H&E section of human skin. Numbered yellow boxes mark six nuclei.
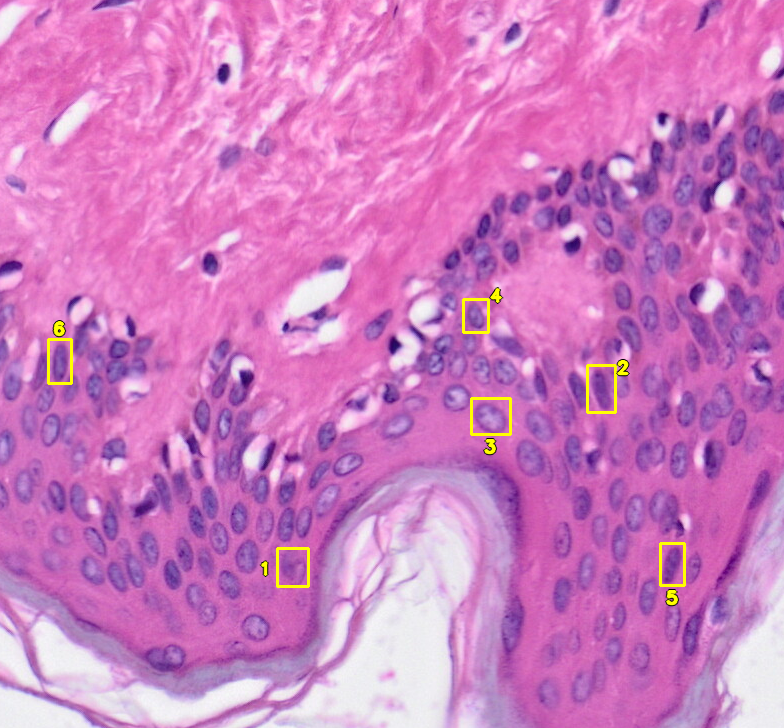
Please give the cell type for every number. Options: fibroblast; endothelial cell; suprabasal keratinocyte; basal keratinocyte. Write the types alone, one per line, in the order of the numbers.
suprabasal keratinocyte
basal keratinocyte
suprabasal keratinocyte
basal keratinocyte
suprabasal keratinocyte
basal keratinocyte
